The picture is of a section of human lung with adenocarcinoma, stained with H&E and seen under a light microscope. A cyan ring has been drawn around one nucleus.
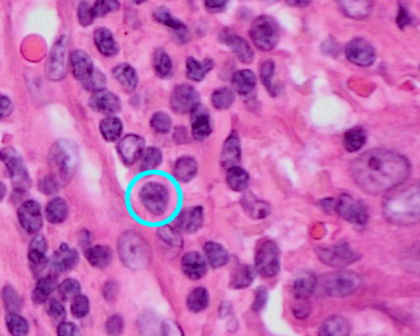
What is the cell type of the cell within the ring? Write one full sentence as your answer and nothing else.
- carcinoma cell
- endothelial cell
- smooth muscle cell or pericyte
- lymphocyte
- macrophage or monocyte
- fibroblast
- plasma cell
Considered by cell type, the cell within the ring is a lymphocyte.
